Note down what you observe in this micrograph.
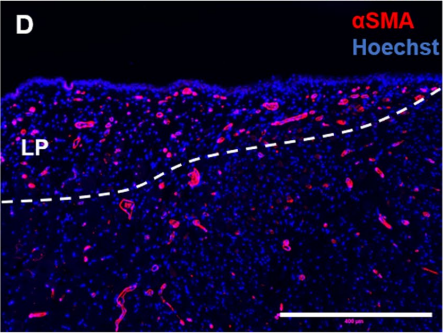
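The surface epithelium forms a narrow band of densely packed blue nuclei along the top edge. Beneath it, the lamina propria contains many scattered blue nuclei and numerous red rings and short tubular profiles that outline small vessels. Below the line, red-walled vessels continue more sparsely among the nuclei of the deeper tissue.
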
